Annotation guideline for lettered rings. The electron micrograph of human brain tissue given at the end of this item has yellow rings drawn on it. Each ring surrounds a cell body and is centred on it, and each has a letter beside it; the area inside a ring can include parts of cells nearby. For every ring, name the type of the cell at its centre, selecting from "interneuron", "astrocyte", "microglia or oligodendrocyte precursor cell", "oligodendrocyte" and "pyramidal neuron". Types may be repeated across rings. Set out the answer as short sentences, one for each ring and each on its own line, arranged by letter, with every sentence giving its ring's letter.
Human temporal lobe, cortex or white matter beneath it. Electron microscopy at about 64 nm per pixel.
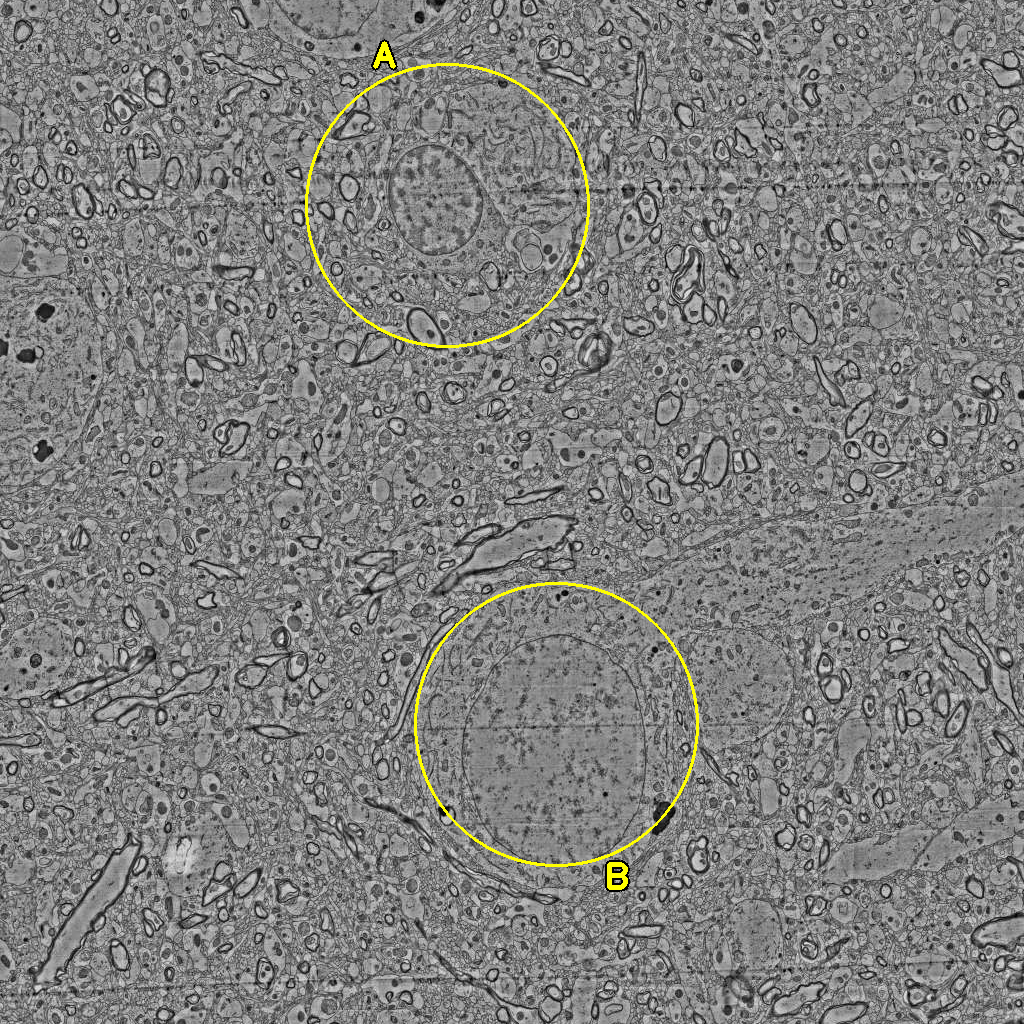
The cell centred in ring A is an oligodendrocyte.
The cell centred in ring B is a pyramidal neuron.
